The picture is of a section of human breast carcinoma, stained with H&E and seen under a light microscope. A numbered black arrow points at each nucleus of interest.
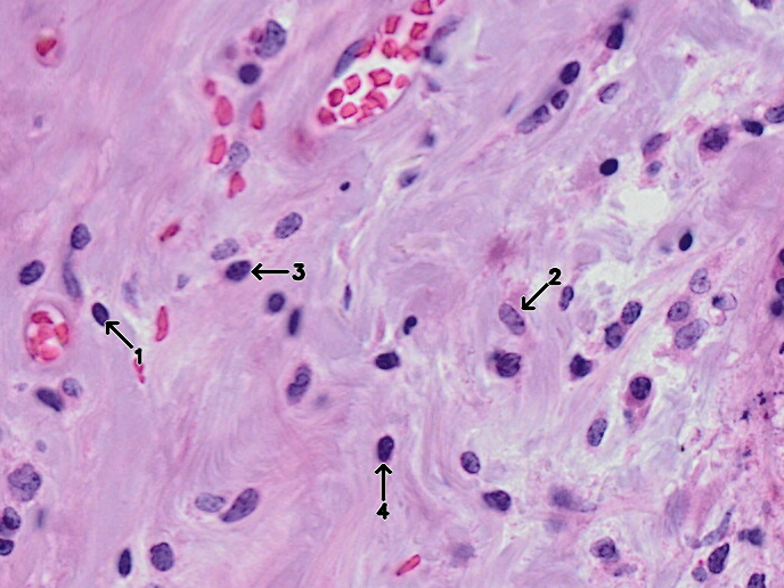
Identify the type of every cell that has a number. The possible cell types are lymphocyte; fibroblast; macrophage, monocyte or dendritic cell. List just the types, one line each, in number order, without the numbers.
lymphocyte
macrophage, monocyte or dendritic cell
lymphocyte
lymphocyte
